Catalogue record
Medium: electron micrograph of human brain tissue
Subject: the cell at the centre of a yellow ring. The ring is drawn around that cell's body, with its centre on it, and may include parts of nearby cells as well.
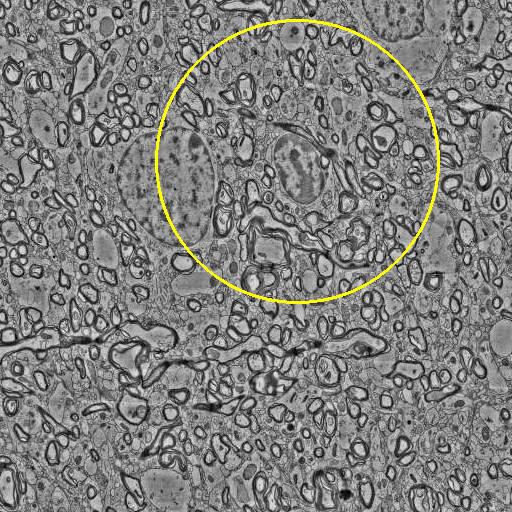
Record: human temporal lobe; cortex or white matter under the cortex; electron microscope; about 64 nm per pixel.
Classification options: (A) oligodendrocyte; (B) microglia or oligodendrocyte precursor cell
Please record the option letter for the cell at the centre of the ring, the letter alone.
B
